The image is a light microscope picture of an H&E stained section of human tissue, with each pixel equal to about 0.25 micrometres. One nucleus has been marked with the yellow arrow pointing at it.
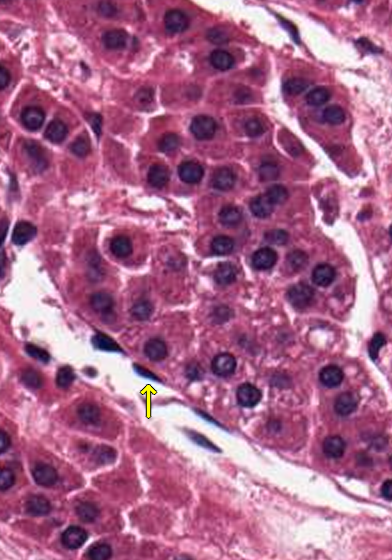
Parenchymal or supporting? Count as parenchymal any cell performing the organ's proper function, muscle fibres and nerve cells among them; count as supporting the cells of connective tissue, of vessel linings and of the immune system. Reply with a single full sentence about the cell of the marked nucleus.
As for the marked nucleus, it belongs to a supporting cell.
